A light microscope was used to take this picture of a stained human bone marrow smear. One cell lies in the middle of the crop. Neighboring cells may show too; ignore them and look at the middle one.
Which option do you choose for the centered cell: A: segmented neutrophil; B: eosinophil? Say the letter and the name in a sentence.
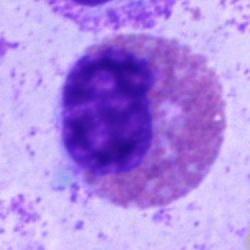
Given that the cell in the middle is an eosinophil, option B is correct.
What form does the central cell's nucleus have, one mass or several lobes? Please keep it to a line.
The nucleus is one compact mass, round, oval or kidney-shaped in outline.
